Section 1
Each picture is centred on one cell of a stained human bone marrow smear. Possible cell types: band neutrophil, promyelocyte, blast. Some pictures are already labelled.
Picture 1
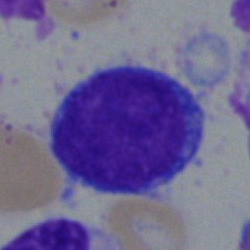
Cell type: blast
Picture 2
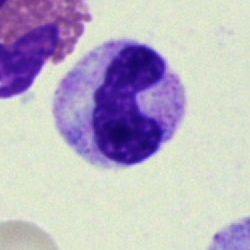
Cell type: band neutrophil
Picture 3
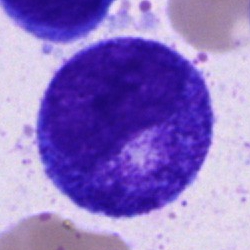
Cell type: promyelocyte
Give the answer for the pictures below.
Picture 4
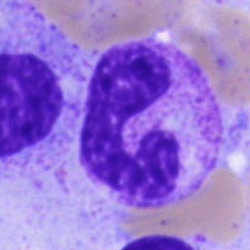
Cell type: band neutrophil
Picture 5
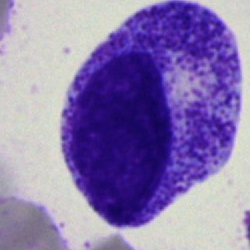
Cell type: promyelocyte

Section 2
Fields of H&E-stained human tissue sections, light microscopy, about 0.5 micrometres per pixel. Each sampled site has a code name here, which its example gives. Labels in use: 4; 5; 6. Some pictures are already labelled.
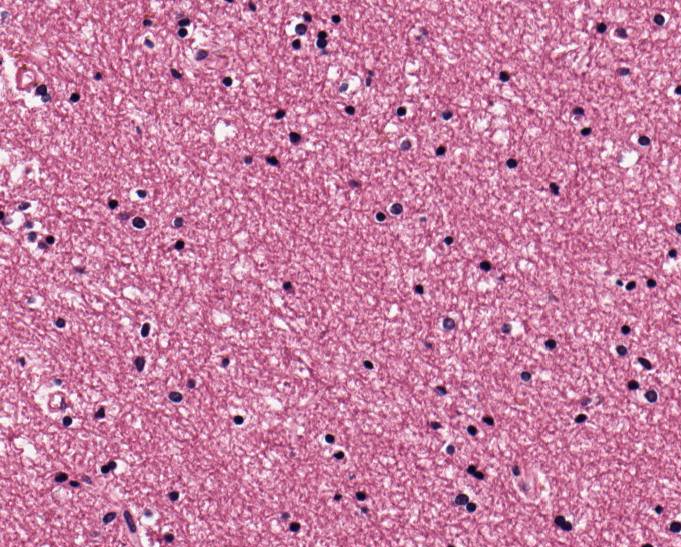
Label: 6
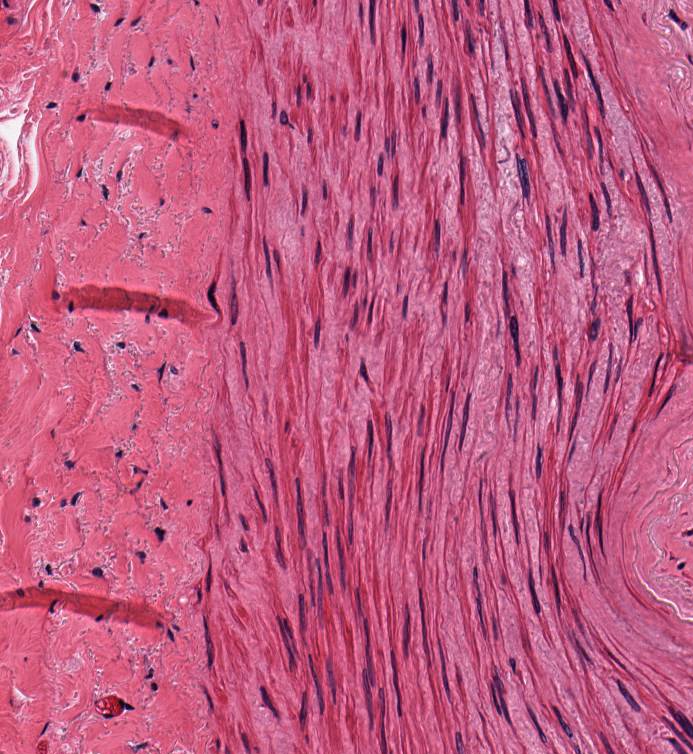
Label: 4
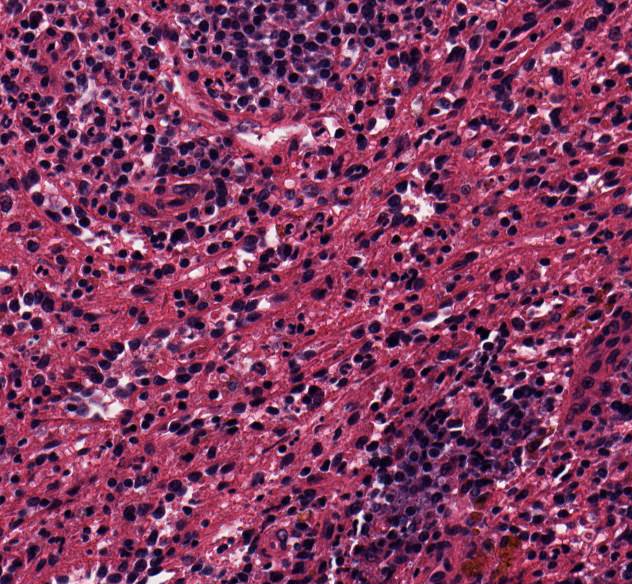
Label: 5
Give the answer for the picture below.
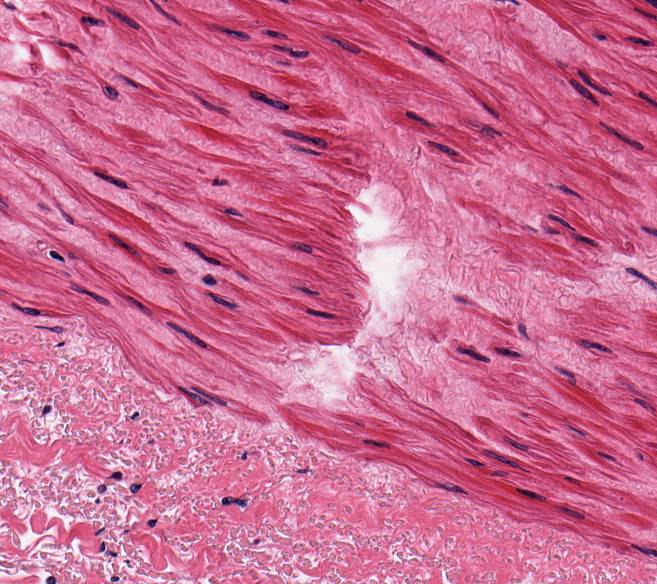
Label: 4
